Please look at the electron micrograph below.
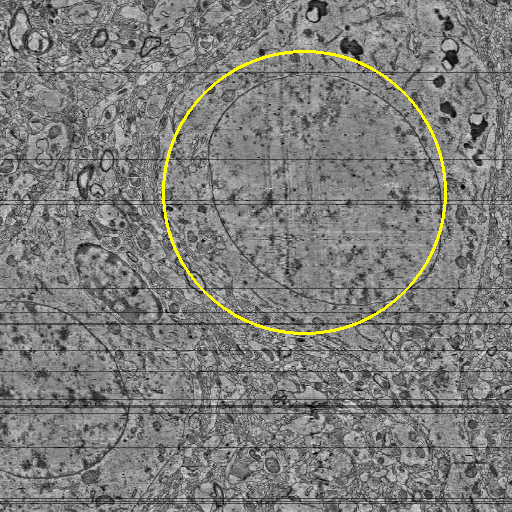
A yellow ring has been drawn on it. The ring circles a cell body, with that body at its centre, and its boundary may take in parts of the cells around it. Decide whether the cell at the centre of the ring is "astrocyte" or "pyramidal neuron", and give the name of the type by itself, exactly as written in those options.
pyramidal neuron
